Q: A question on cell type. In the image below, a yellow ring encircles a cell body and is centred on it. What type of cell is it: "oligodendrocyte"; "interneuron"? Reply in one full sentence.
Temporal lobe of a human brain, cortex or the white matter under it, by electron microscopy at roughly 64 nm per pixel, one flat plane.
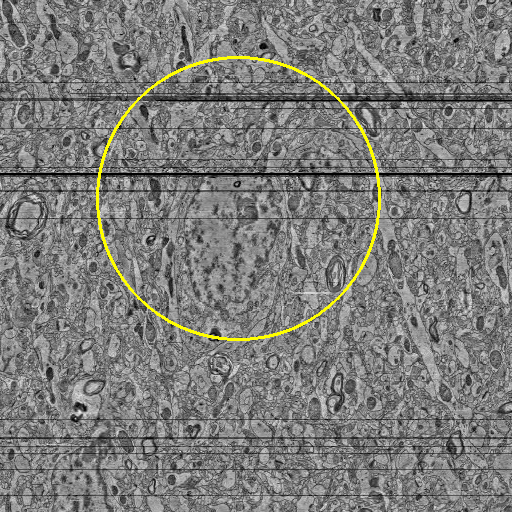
It is an interneuron whose cell body sits at the centre of the yellow ring in the image.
